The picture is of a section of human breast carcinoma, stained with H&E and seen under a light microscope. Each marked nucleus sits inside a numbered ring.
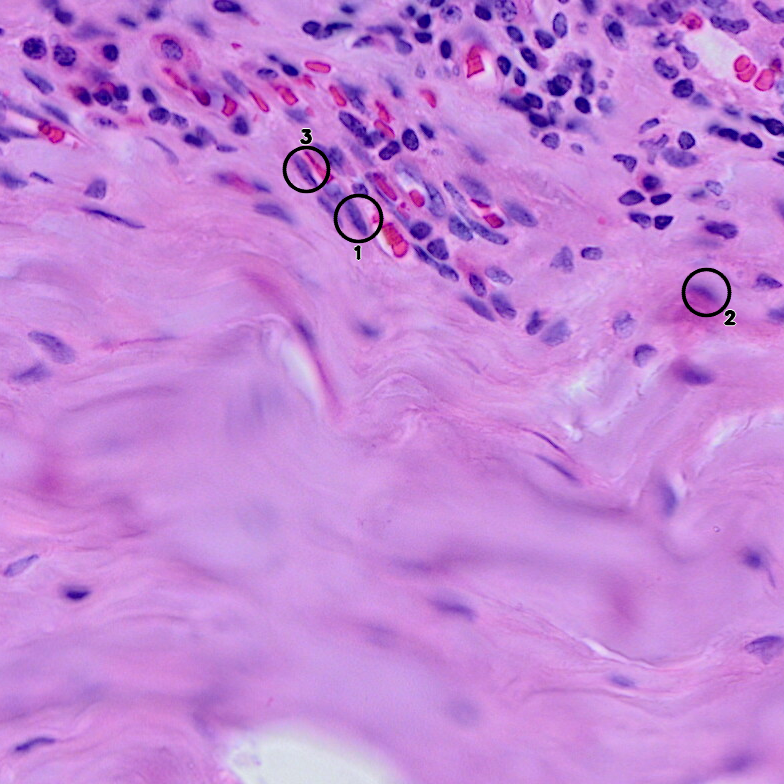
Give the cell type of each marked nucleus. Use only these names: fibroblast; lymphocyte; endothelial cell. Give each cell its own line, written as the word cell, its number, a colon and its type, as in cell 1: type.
cell 1: endothelial cell
cell 2: fibroblast
cell 3: endothelial cell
